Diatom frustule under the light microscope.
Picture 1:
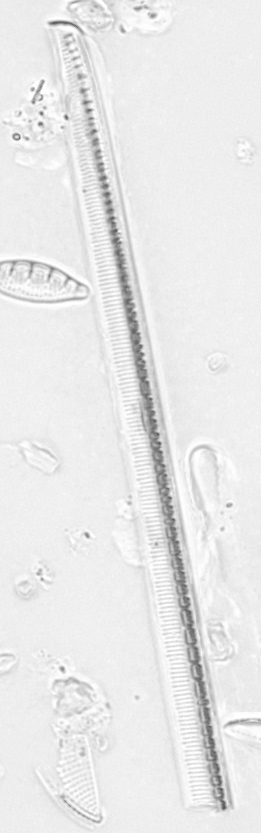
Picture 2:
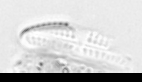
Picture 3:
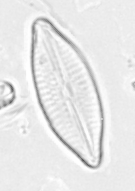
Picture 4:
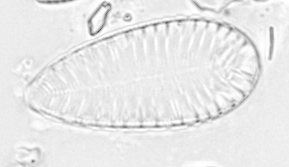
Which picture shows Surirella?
Picture 4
